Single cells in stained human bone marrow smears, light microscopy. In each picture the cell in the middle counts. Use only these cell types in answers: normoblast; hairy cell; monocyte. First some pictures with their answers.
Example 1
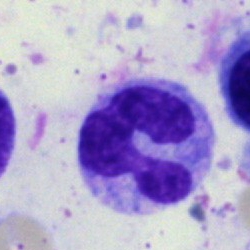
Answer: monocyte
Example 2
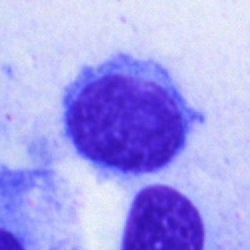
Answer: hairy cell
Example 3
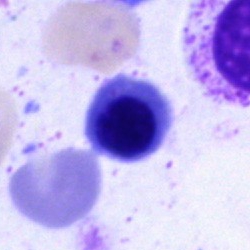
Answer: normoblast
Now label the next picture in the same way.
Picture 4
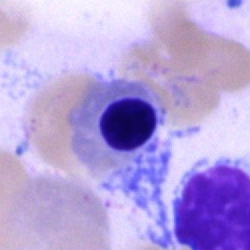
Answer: normoblast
